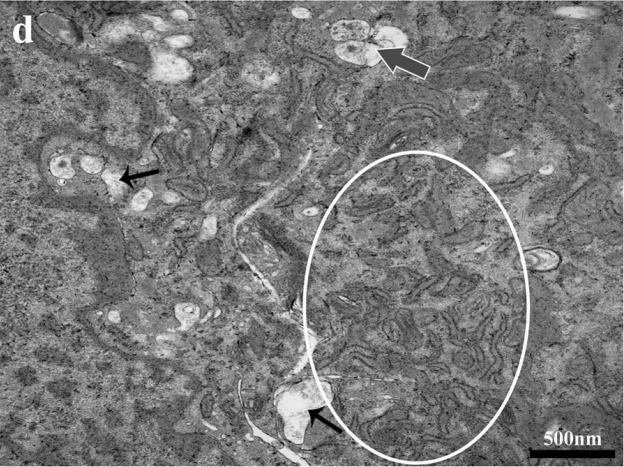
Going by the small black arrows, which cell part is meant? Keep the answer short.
Small vacuoles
